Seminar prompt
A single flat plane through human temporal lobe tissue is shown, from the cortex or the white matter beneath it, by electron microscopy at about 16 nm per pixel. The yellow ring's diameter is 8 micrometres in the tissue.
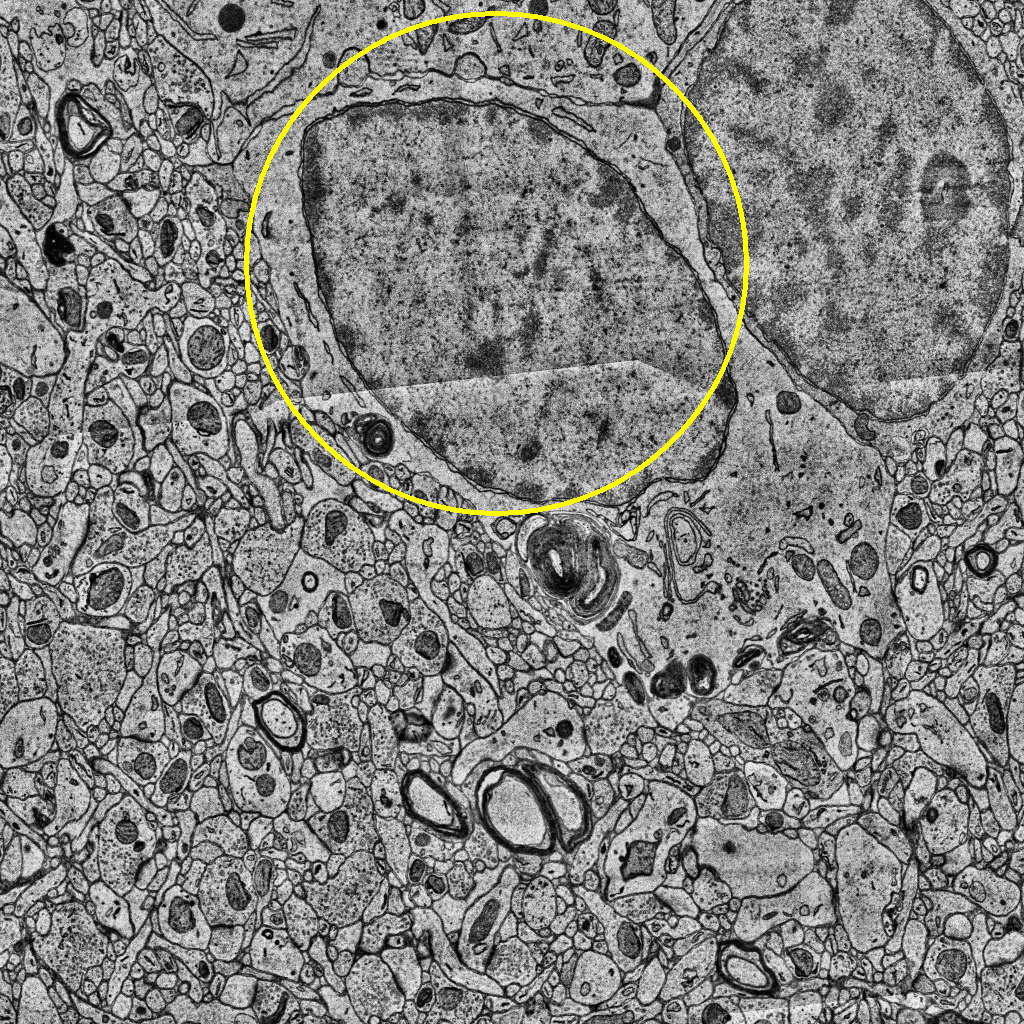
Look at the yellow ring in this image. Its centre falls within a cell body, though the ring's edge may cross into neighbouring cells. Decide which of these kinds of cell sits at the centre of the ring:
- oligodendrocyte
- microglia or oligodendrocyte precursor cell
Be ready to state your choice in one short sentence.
The kind of cell at the ring's centre is a microglial cell or oligodendrocyte precursor cell.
